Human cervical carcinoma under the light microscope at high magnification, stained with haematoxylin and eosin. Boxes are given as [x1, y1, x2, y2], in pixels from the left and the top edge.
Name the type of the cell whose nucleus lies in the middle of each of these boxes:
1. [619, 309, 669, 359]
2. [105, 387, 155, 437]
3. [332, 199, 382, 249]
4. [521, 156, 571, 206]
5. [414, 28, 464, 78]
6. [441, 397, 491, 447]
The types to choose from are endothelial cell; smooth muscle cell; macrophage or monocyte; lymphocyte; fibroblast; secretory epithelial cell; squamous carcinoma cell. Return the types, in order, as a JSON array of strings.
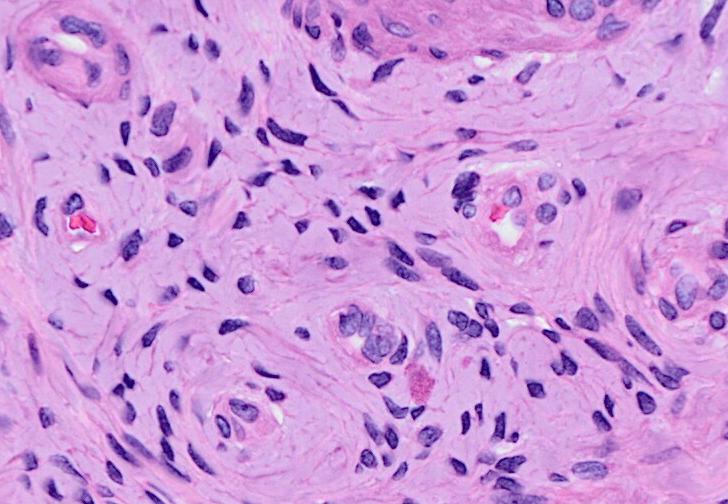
["fibroblast", "fibroblast", "fibroblast", "smooth muscle cell", "smooth muscle cell", "fibroblast"]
